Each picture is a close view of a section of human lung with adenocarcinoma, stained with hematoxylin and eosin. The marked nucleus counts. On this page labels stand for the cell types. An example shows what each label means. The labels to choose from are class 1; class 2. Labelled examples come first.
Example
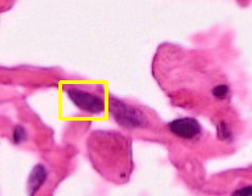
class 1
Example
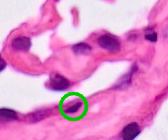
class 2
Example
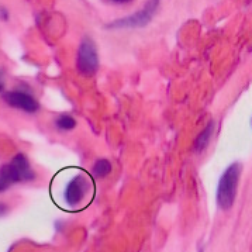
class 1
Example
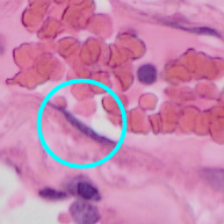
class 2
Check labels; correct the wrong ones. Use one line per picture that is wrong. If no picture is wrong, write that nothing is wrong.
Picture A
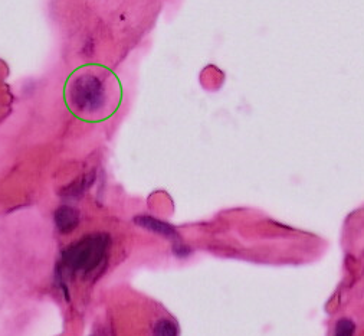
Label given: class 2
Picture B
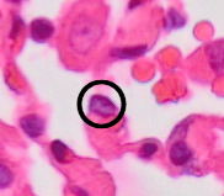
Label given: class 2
A: change class 2 to class 1
B: change class 2 to class 1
